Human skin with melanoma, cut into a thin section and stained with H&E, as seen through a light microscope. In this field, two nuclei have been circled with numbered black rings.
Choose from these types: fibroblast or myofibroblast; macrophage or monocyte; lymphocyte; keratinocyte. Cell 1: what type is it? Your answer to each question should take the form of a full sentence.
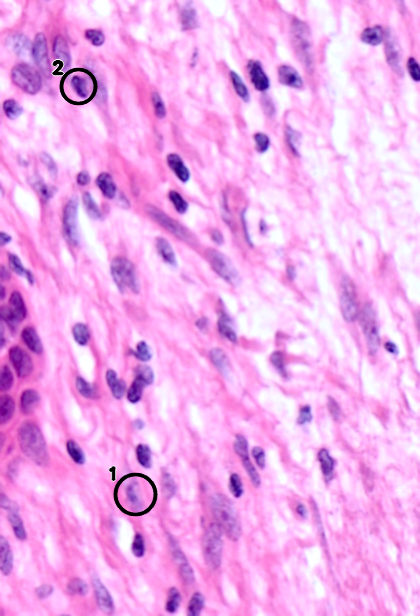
The cell whose nucleus carries the number 1 is a fibroblast or myofibroblast.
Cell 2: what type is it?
In this section, the cell numbered 2 is a lymphocyte.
